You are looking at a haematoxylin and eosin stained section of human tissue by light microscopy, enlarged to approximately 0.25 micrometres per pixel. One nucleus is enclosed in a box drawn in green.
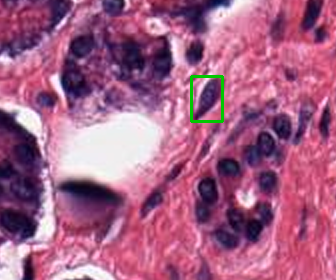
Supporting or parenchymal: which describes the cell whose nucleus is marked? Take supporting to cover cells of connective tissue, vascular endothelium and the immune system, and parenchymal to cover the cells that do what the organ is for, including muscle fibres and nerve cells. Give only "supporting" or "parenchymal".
supporting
